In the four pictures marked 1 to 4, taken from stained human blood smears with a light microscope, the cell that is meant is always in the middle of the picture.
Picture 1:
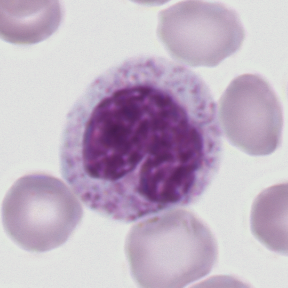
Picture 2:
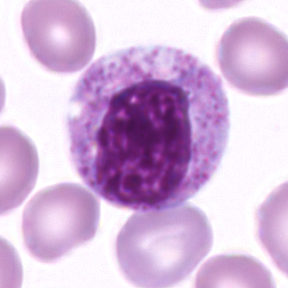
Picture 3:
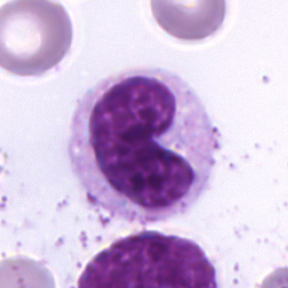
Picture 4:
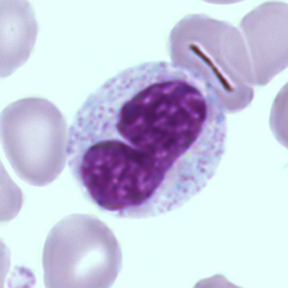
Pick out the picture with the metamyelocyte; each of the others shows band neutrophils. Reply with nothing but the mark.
2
